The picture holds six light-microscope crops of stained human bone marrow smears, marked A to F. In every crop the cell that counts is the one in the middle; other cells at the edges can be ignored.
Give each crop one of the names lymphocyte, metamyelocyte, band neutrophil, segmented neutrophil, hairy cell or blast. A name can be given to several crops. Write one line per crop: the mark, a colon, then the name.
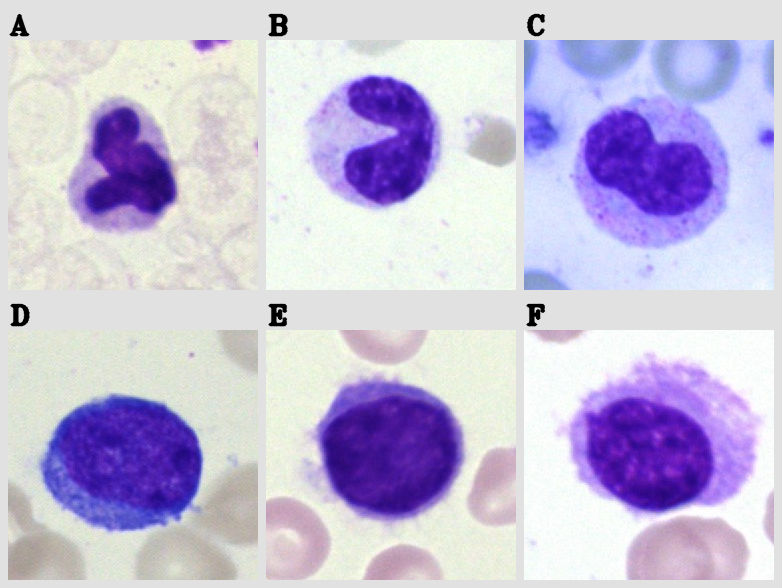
A: segmented neutrophil
B: band neutrophil
C: metamyelocyte
D: blast
E: hairy cell
F: hairy cell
